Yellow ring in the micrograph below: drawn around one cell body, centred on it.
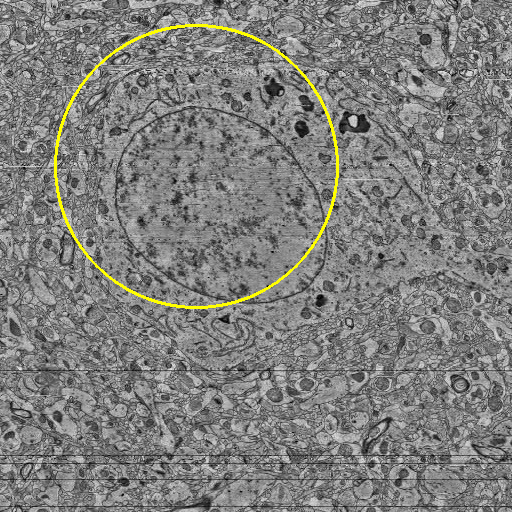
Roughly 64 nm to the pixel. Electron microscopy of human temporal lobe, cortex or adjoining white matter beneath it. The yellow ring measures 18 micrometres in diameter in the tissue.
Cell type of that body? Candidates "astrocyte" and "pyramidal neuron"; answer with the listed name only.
pyramidal neuron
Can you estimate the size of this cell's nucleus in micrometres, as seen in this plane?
Approximately 15 micrometres long and 12 micrometres wide, in this plane.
